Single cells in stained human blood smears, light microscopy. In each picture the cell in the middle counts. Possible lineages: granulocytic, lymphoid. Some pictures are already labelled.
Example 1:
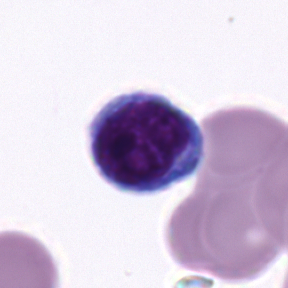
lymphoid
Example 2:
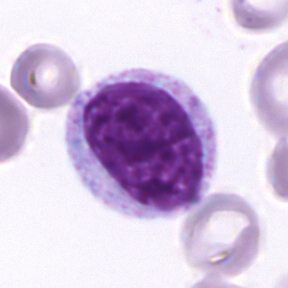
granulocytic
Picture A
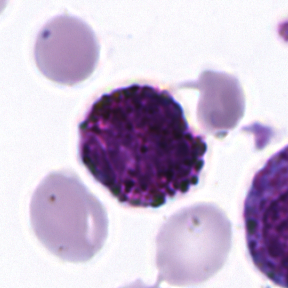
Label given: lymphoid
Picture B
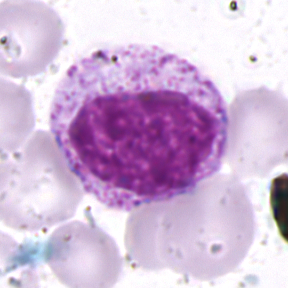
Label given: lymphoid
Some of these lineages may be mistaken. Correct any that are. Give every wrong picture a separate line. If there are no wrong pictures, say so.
Wrong: A (lymphoid); correct: granulocytic
Wrong: B (lymphoid); correct: granulocytic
